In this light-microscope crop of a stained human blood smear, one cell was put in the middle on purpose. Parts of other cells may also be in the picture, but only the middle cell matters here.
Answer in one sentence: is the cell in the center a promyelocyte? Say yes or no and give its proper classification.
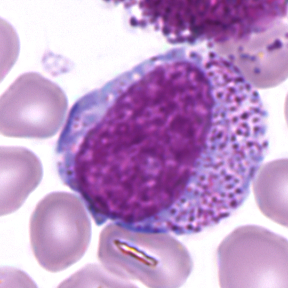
Yes, the identification of the central cell as a promyelocyte is correct.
